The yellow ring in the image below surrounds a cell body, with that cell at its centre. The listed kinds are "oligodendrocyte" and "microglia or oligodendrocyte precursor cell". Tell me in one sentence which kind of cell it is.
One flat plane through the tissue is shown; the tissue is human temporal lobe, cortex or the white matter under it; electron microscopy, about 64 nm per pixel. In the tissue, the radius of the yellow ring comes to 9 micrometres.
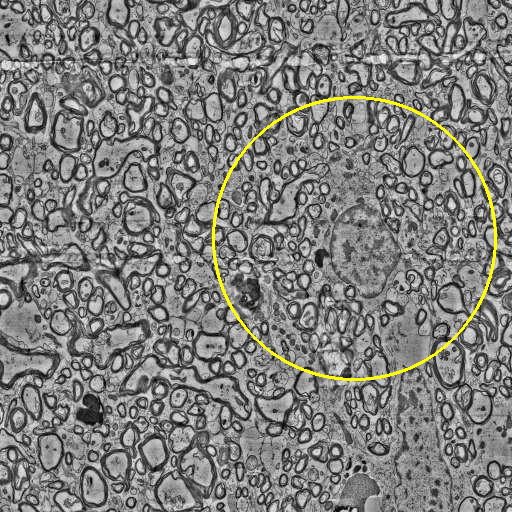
The centre of the ring holds an oligodendrocyte.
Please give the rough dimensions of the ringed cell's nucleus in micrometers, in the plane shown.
The nucleus appears roughly 6 by 5 micrometres in this plane.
